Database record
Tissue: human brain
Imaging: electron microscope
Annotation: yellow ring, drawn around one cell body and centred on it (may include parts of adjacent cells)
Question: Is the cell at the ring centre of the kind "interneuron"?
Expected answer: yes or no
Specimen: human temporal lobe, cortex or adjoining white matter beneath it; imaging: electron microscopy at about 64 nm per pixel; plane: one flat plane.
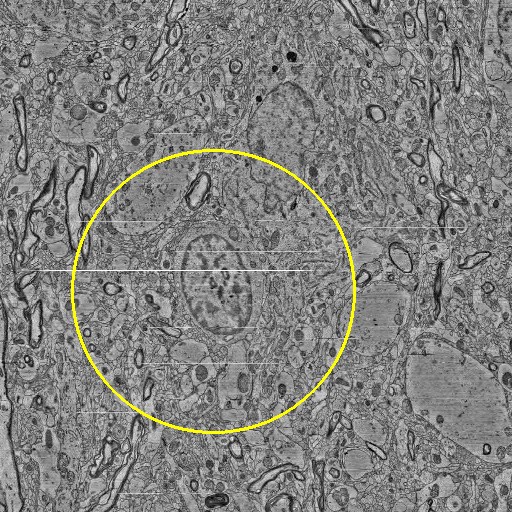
no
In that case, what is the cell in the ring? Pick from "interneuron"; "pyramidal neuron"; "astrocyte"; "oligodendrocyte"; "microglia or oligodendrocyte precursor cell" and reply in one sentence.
The ring holds an oligodendrocyte at its centre.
